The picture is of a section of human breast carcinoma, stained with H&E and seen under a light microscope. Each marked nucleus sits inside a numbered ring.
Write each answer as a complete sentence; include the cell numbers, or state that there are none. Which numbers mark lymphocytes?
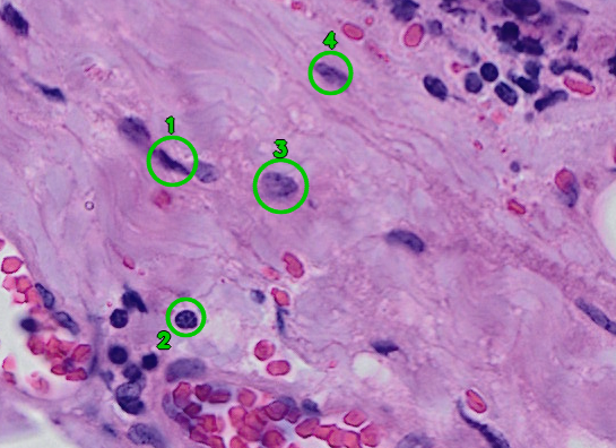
The cell bearing the number 2 is a lymphocyte, unlike the rest of the numbered cells.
